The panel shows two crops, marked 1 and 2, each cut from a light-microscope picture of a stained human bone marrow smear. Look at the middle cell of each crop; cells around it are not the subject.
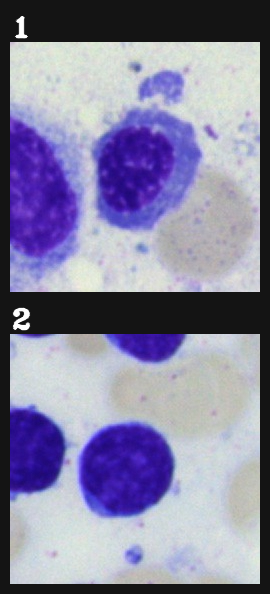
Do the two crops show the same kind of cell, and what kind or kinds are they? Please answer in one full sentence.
No, crop 1 has a normoblast in the middle, and crop 2 has a lymphocyte.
